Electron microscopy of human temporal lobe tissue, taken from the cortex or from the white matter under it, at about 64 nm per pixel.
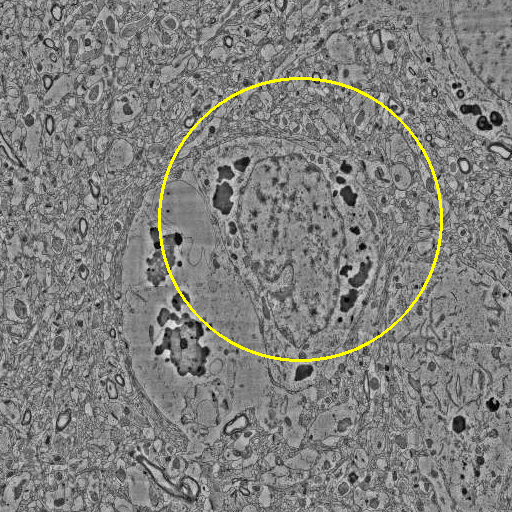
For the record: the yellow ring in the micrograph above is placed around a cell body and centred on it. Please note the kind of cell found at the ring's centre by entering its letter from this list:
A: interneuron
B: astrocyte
A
